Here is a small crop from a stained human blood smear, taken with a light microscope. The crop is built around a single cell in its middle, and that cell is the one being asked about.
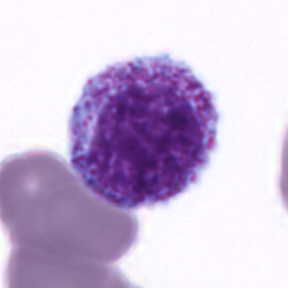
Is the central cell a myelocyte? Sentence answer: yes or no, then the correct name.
Yes, the cell in the middle is a myelocyte.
